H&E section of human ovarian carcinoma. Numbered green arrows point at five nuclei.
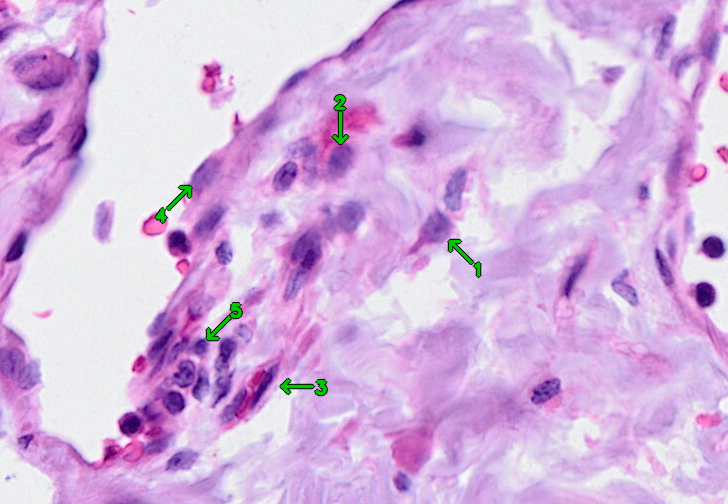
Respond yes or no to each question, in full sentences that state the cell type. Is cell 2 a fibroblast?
No, the marked cell 2 is not a fibroblast, being instead an endothelial cell.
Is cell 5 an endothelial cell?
No, with respect, cell 5 is a lymphocyte rather than an endothelial cell.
